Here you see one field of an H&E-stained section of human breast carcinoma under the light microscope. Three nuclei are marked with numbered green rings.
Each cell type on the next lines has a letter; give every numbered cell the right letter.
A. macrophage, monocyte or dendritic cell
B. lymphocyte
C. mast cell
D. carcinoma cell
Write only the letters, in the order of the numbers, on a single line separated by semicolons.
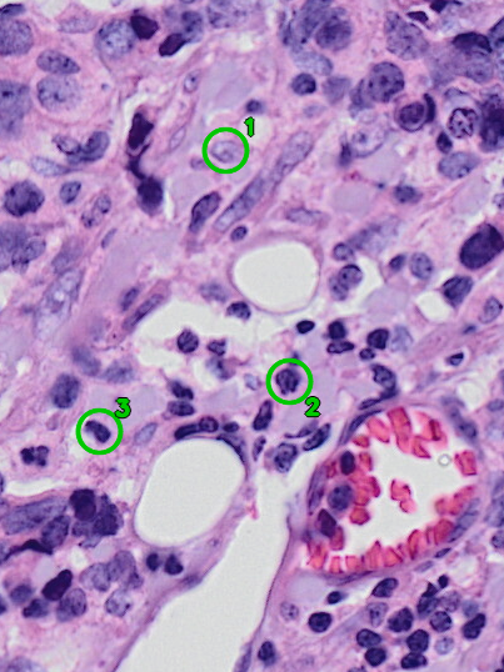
A; B; B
